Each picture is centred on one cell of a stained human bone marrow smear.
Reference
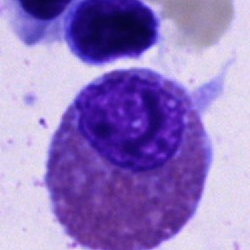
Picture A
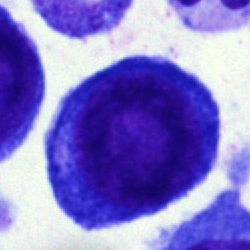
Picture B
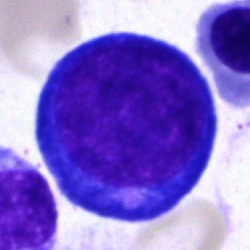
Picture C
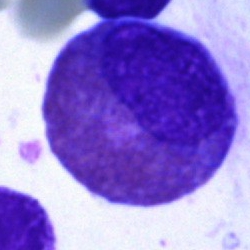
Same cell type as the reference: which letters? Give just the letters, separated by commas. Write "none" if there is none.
C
